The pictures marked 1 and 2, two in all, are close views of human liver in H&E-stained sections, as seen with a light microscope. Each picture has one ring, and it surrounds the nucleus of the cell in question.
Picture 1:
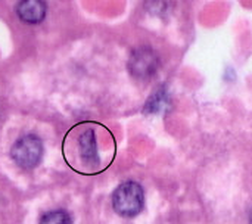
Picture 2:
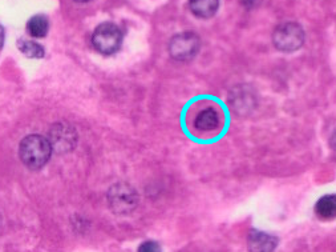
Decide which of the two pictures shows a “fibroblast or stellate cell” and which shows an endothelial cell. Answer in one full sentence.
It is picture 1 that shows an endothelial cell, and picture 2 that shows a “fibroblast or stellate cell”.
